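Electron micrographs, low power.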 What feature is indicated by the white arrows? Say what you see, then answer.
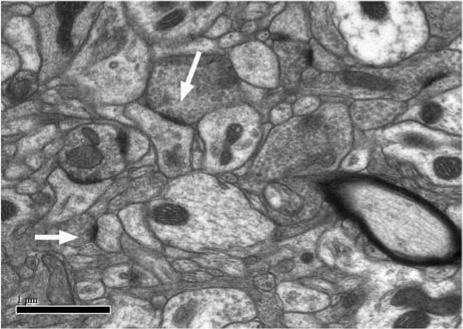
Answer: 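Healthy (i.e. non-degenerating) synaptic profiles. The arrowed profiles have cytoplasm of ordinary grey density containing small vesicles.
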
